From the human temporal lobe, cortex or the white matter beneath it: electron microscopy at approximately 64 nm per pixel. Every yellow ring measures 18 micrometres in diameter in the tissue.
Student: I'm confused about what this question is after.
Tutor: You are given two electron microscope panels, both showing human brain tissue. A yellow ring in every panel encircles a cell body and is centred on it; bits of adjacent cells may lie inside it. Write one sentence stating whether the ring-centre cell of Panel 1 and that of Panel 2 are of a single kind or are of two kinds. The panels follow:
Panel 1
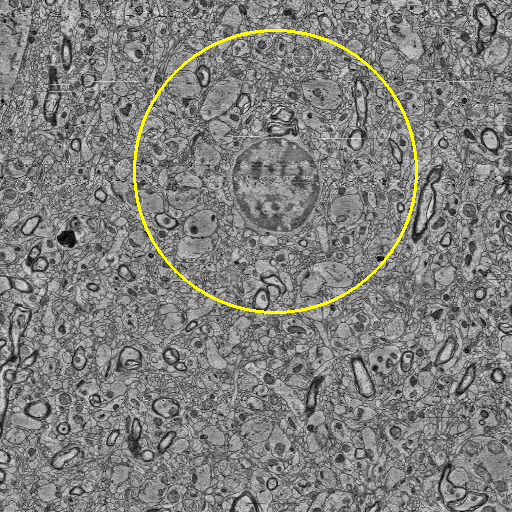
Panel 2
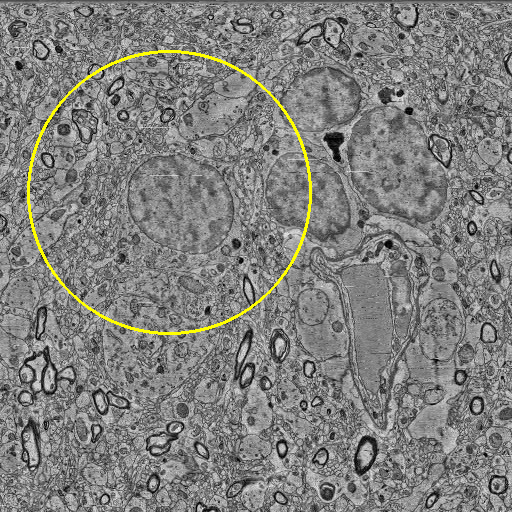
Here, the Panel 1 ring-centre cell and the Panel 2 ring-centre cell are of a single kind.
